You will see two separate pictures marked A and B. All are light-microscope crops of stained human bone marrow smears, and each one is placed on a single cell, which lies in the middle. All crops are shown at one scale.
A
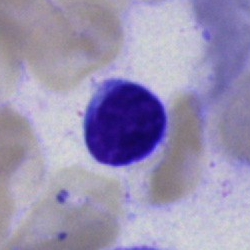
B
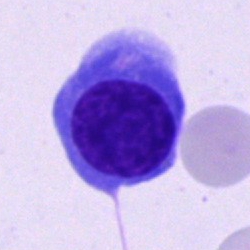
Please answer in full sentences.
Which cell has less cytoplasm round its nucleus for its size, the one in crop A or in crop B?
The nucleus fills more of the cell in crop A than in crop B.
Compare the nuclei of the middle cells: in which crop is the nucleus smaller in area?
Crop A shows the smaller nucleus, since that in crop B covers about 1.5 times as much area.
